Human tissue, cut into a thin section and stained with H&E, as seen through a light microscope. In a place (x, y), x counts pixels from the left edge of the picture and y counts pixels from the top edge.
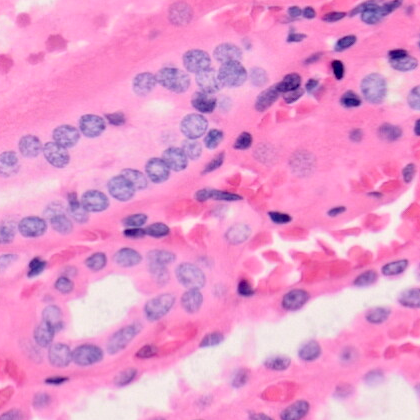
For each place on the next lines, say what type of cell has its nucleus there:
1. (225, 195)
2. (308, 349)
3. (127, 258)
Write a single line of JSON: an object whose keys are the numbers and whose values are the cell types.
{"1": "endothelial cell", "2": "loop of Henle or distal tubule cell", "3": "collecting duct cell"}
